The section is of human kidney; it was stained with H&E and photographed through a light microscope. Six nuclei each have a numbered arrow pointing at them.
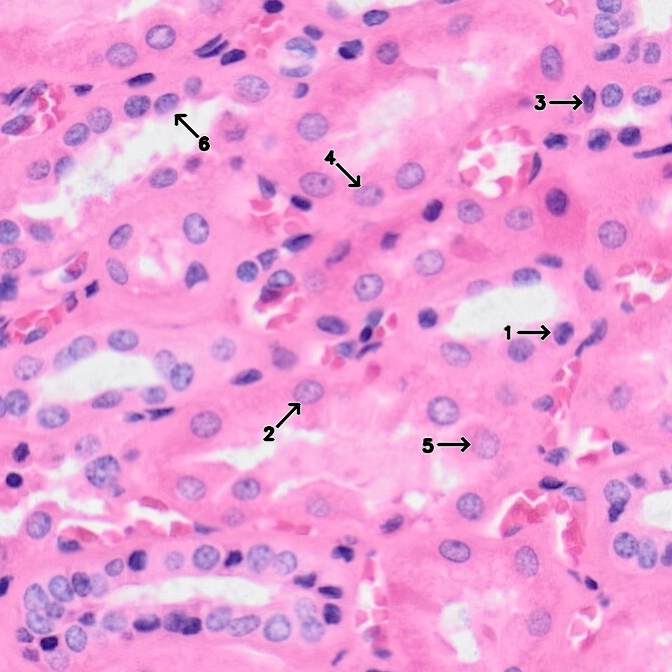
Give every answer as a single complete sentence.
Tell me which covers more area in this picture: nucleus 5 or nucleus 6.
Nucleus 5 is larger, with an area about 1.5 times that of nucleus 6.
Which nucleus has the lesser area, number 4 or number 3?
The smaller nucleus is 3, and 4 covers roughly 1.5 times its area.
